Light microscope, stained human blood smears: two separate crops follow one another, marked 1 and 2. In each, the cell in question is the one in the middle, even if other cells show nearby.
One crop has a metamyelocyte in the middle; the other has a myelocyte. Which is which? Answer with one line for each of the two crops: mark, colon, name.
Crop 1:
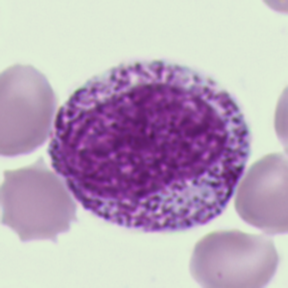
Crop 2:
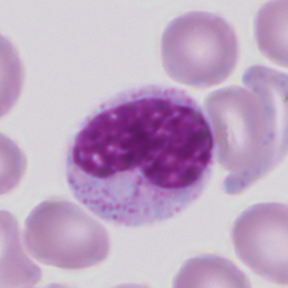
1: myelocyte
2: metamyelocyte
